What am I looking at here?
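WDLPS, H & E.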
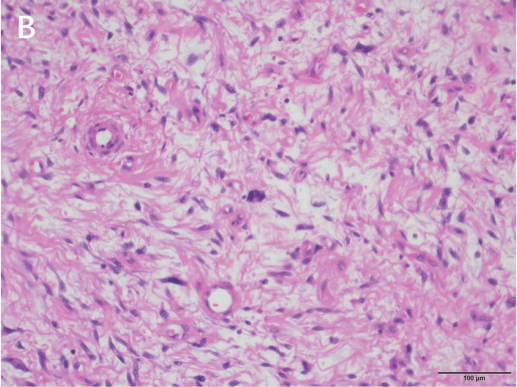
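The tissue is a loose, pale pink fibrillary stroma with scattered spindle and stellate tumor cells with small dark nuclei. Near the centre sits a single large dark cell with several clustered nuclei.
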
